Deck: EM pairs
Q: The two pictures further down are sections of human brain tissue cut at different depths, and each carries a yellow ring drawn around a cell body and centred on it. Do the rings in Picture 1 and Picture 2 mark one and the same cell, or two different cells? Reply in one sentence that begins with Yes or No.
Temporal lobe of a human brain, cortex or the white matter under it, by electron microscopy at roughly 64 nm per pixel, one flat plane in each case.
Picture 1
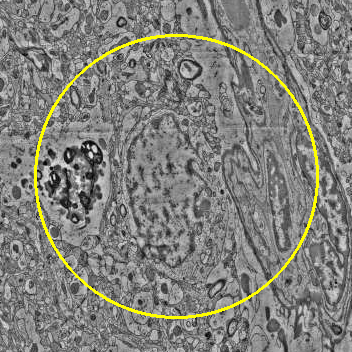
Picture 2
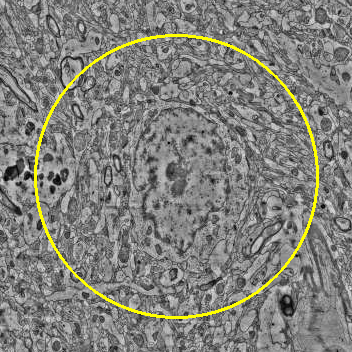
Yes, only one cell is involved, and both rings mark it.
